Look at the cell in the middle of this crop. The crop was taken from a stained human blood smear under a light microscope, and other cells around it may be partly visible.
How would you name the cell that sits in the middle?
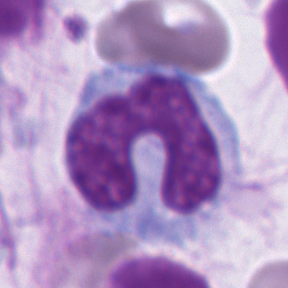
monocyte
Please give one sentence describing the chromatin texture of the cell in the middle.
This nucleus has coarsely clumped chromatin.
